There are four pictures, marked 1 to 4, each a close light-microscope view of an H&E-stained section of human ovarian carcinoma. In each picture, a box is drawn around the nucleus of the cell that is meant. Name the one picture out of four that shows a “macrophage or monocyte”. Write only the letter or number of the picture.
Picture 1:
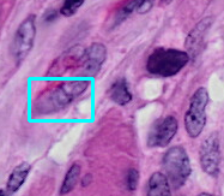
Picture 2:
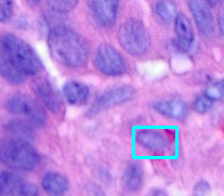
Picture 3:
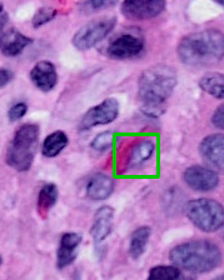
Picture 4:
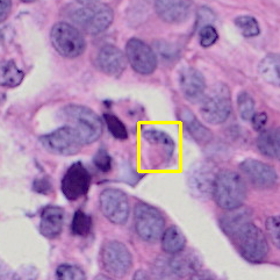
4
